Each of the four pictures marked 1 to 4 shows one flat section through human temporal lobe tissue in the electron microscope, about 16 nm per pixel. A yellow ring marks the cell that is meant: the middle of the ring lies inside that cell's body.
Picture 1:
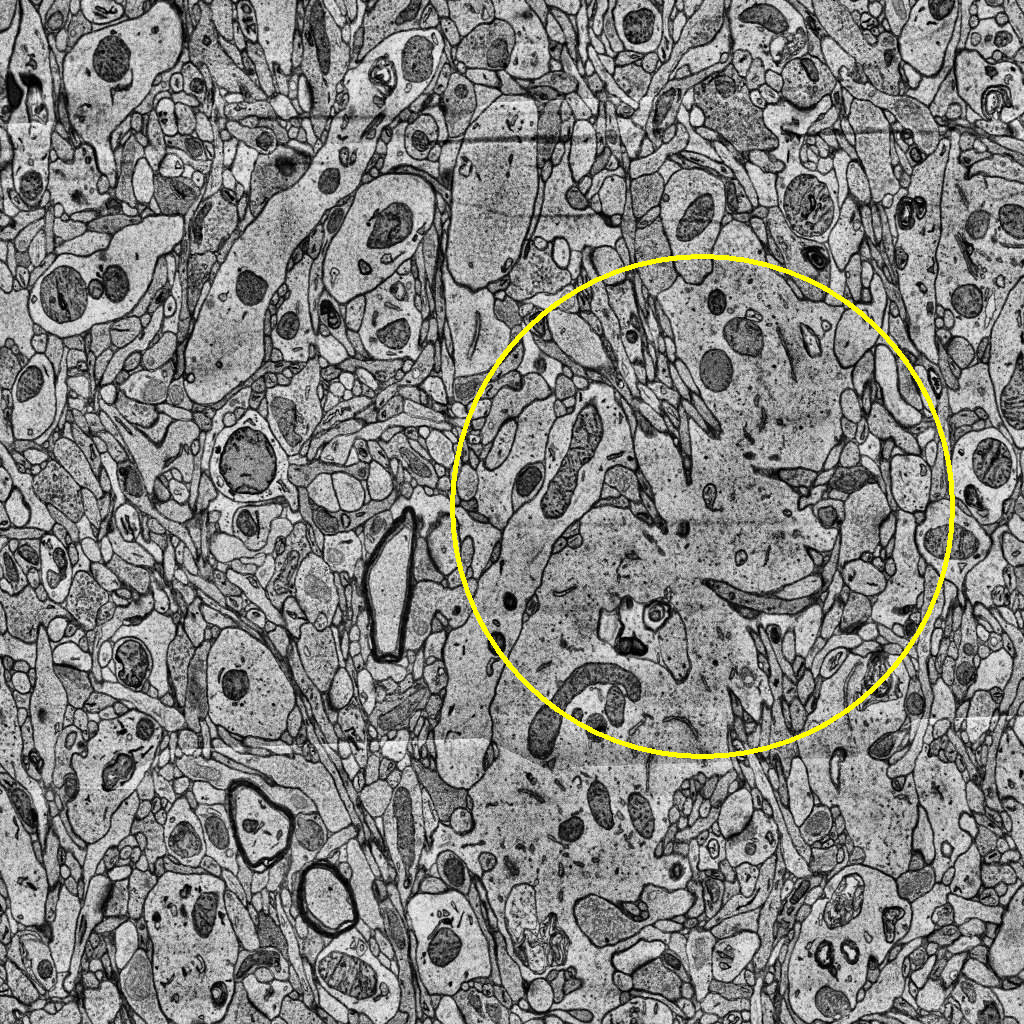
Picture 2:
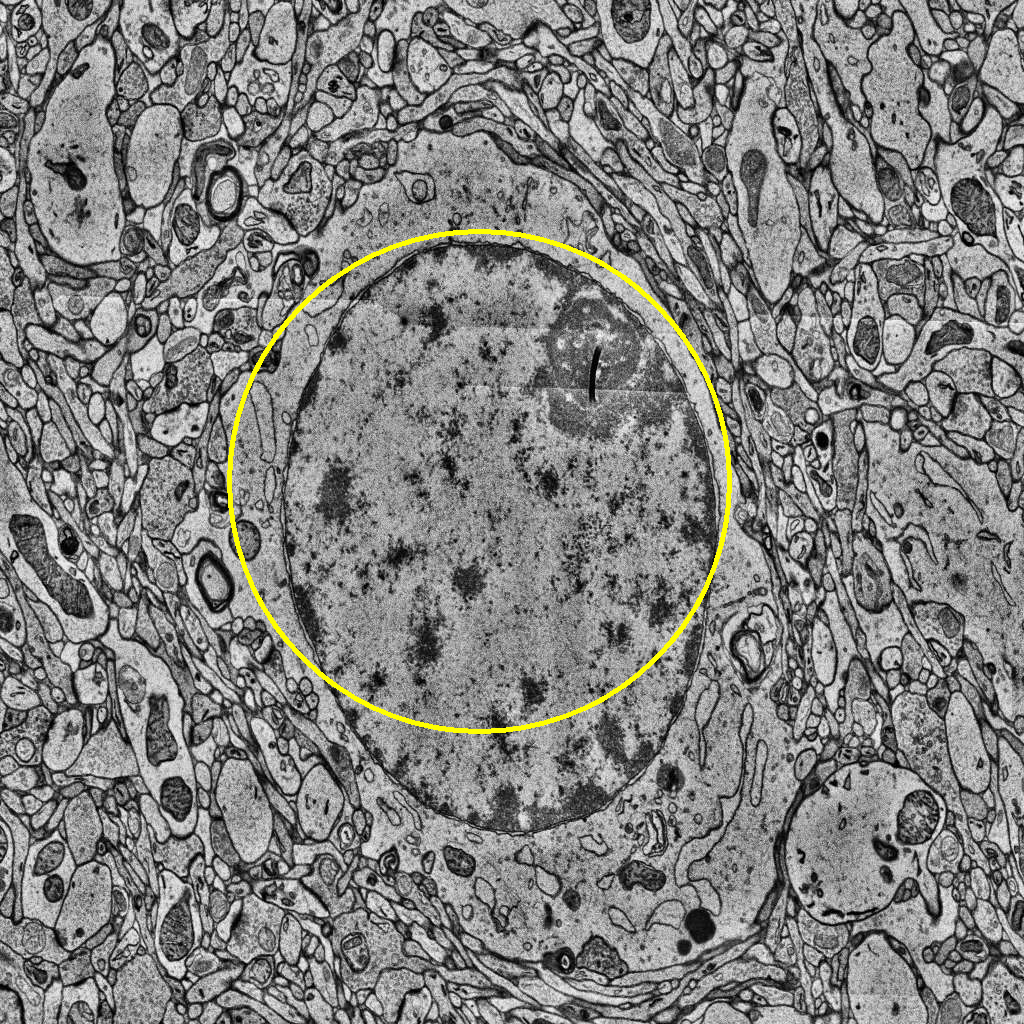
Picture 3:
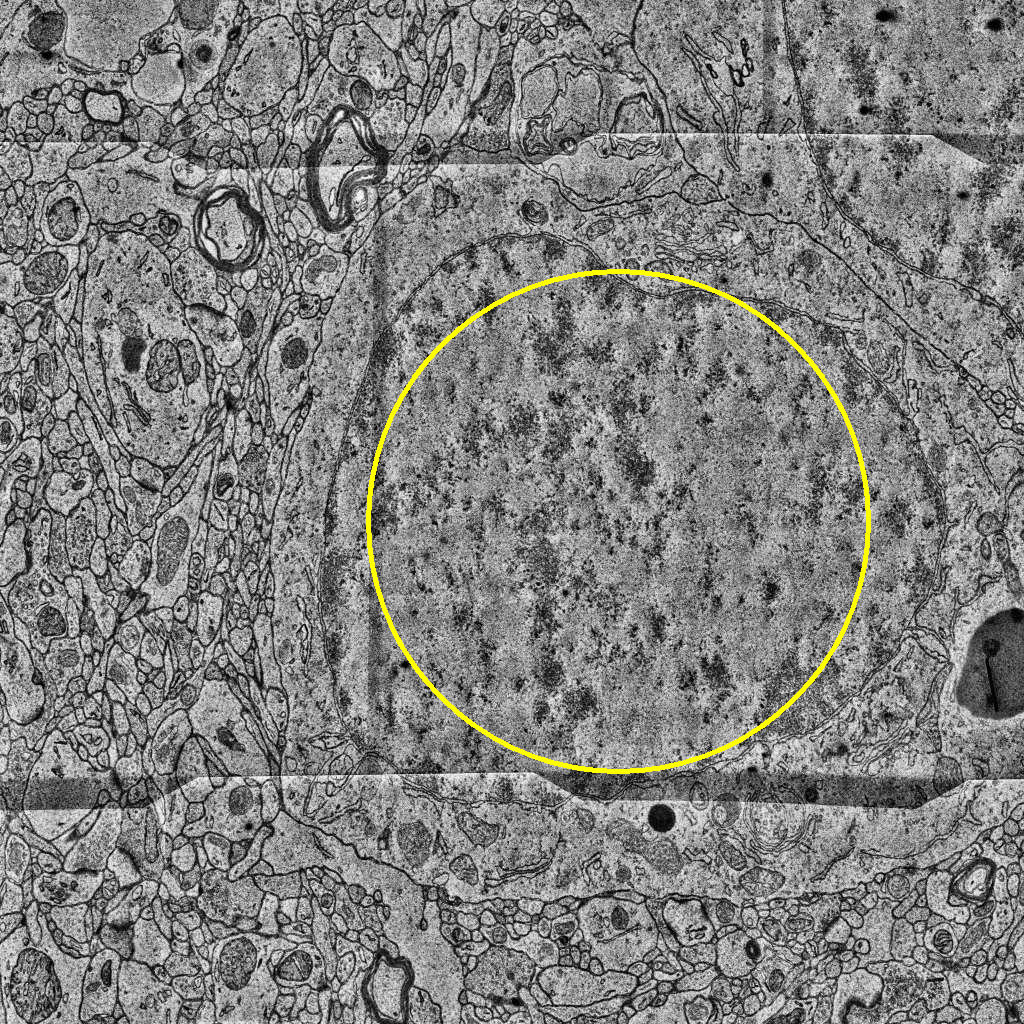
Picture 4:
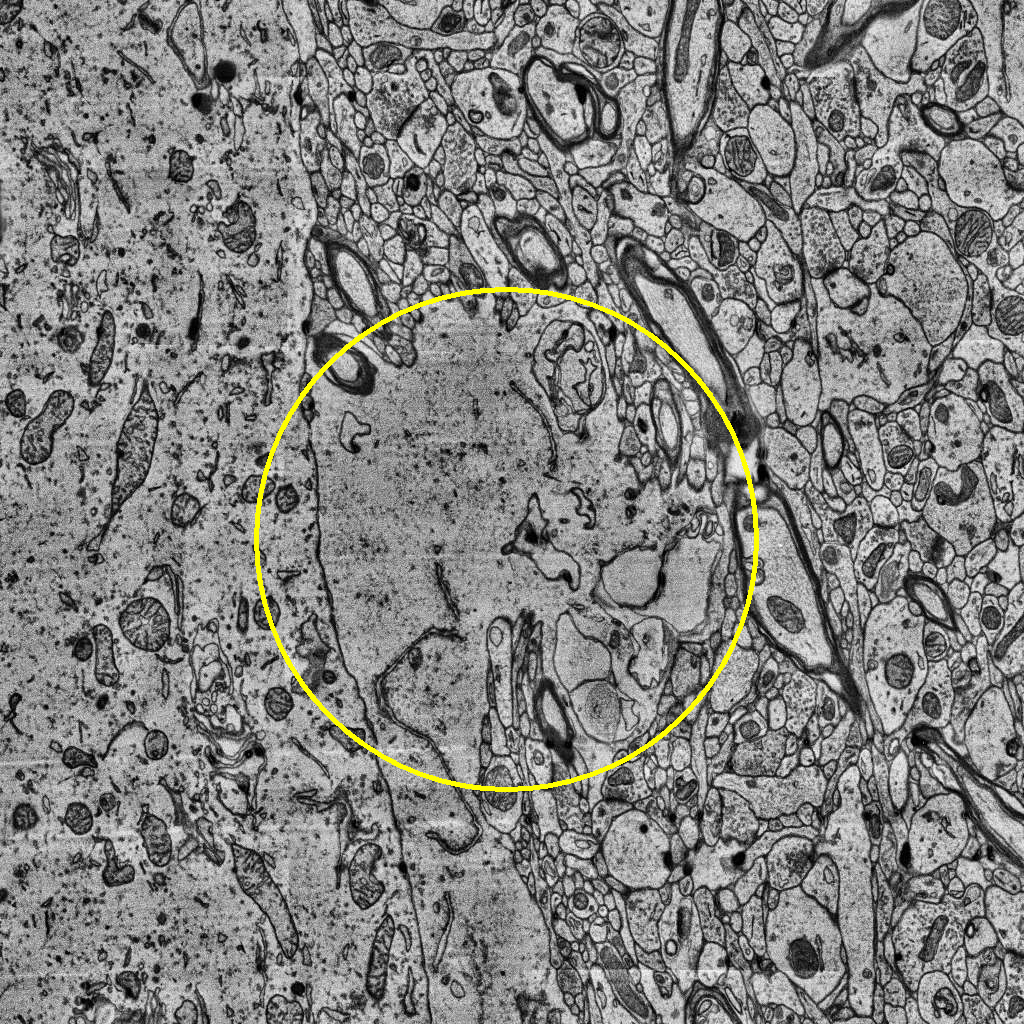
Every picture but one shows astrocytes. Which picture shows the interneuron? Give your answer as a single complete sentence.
Picture 3 is the one that shows the interneuron.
